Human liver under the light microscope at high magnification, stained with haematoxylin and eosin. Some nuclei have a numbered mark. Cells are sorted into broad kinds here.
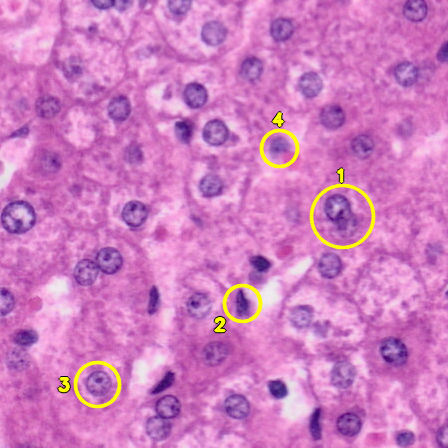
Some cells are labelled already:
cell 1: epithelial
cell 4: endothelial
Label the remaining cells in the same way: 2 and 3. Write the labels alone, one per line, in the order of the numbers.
endothelial
epithelial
